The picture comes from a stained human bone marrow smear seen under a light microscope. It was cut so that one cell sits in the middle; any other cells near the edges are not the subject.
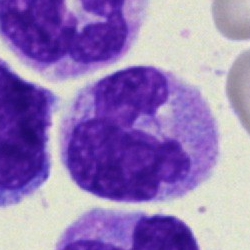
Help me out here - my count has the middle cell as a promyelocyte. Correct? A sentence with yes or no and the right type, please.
No, the central cell is a monocyte; it should not be labelled a promyelocyte.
